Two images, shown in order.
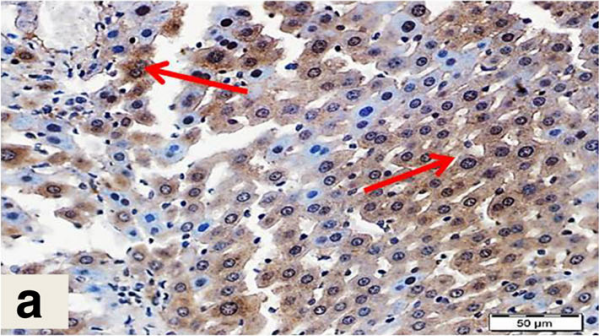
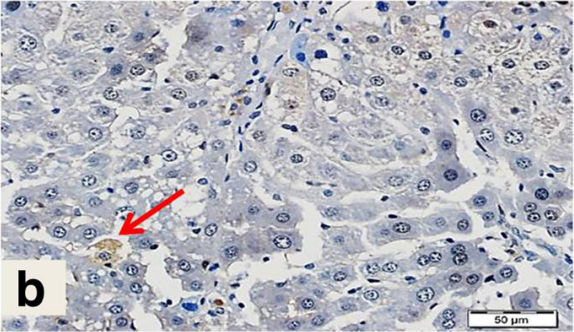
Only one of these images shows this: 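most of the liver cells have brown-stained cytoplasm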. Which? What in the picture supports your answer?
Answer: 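Second image: cytoplasm is mostly pale blue-grey, with only a single small brown-stained cell. First image: brown stain fills the cytoplasm of most cells across the field. On this evidence: the first image.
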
